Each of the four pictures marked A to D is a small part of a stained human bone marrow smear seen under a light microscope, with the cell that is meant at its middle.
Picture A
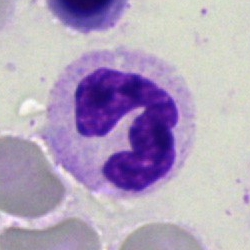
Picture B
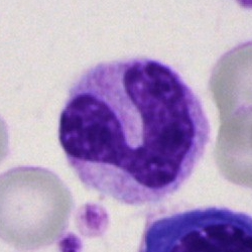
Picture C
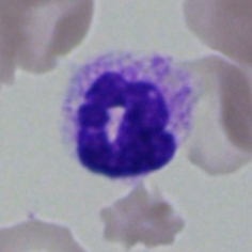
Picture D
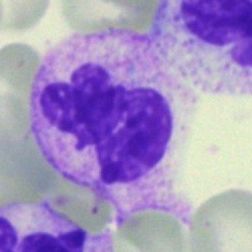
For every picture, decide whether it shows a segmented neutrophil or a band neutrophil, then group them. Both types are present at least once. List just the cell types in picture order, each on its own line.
segmented neutrophil
band neutrophil
segmented neutrophil
segmented neutrophil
